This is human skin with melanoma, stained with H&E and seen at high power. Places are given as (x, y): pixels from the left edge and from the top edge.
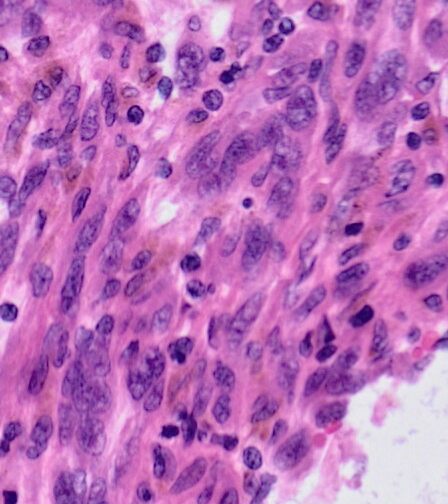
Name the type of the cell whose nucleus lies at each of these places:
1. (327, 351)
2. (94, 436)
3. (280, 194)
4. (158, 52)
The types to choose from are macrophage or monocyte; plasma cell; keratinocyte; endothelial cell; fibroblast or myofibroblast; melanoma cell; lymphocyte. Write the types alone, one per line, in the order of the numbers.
lymphocyte
melanoma cell
melanoma cell
lymphocyte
